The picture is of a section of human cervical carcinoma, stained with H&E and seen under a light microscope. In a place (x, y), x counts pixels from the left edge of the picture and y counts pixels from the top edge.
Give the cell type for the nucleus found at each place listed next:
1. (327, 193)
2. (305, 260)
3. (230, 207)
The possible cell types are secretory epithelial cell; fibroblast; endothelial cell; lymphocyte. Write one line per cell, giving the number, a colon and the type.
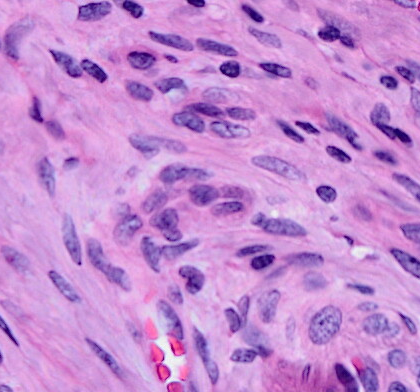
1: lymphocyte
2: fibroblast
3: endothelial cell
